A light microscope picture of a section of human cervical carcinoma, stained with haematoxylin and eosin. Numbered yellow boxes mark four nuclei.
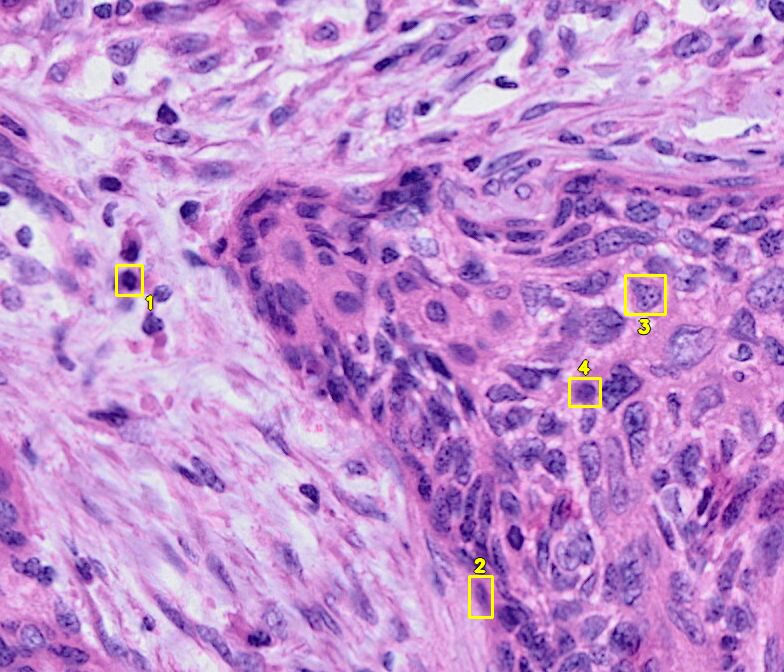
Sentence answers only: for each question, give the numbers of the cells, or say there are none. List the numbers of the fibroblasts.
The numbered cells are all of types other than fibroblasts.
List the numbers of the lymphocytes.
Among the numbered cells, the one that is a lymphocyte is cell 1 alone.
